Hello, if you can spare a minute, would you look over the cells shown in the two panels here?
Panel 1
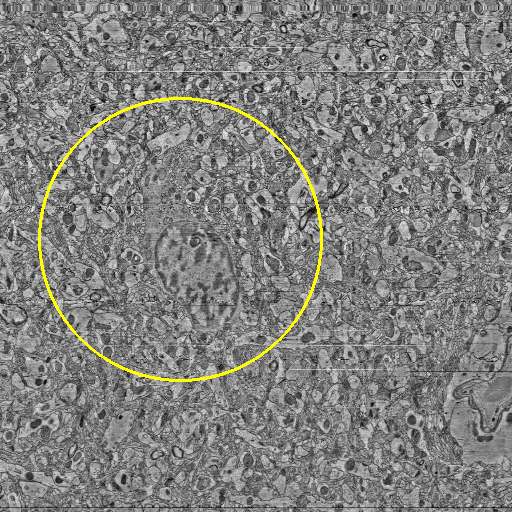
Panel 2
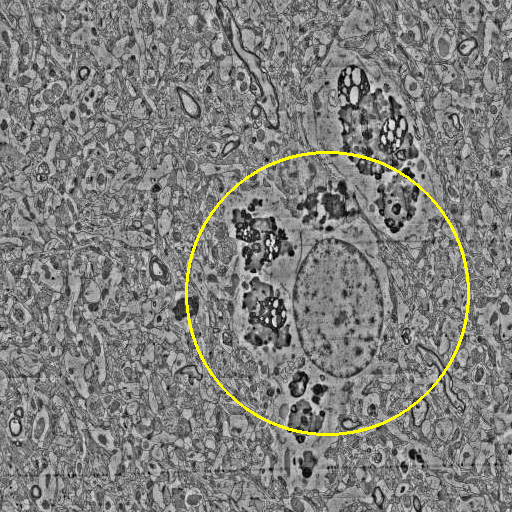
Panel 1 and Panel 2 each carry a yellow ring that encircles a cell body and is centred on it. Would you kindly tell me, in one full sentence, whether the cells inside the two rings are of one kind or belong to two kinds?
The cells at the centres of the rings in Panel 1 and Panel 2 belong to two kinds.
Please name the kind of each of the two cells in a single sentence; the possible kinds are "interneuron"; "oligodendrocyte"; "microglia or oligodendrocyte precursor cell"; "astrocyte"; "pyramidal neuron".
In the first picture the ring is centred on an oligodendrocyte, and in the second on an astrocyte.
